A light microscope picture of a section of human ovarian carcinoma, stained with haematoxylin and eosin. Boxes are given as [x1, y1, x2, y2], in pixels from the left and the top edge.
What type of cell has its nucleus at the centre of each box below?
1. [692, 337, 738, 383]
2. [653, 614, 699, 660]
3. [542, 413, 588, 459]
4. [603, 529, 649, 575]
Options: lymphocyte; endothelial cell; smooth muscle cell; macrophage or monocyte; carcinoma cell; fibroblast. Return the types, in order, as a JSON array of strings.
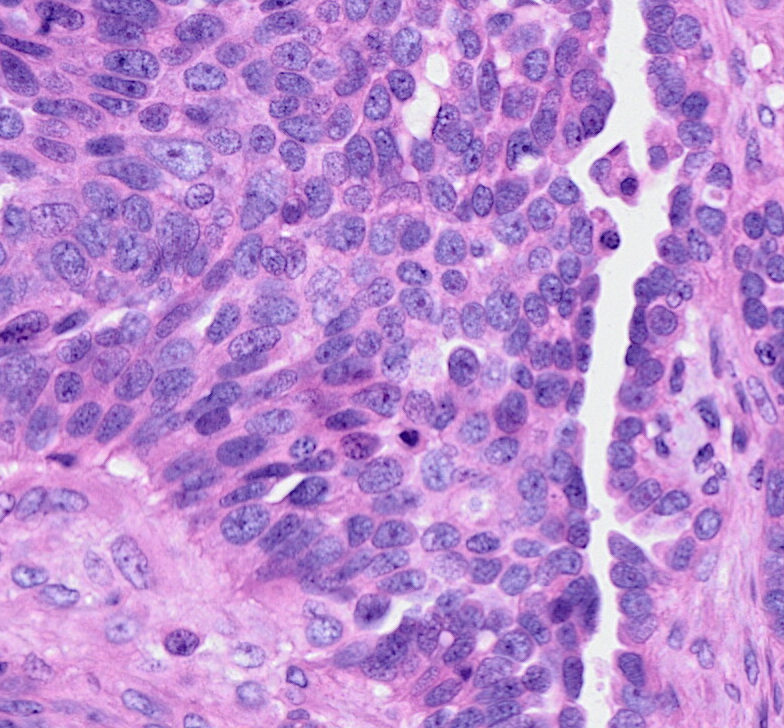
["fibroblast", "fibroblast", "carcinoma cell", "carcinoma cell"]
